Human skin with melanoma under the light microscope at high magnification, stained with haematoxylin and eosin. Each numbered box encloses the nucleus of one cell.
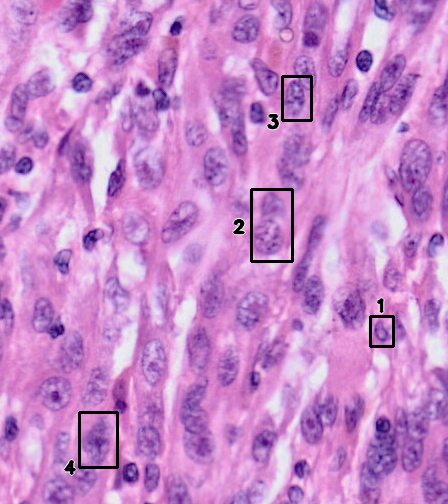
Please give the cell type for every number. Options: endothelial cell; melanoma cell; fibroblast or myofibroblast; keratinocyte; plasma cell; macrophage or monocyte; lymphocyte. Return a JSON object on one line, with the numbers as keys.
{"1": "macrophage or monocyte", "2": "melanoma cell", "3": "melanoma cell", "4": "melanoma cell"}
